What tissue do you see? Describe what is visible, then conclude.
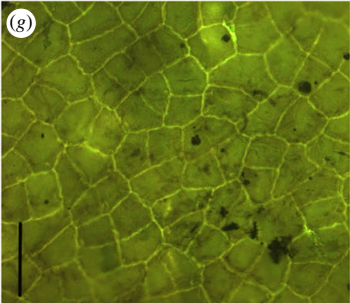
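A continuous sheet of polygonal cells outlined by bright walls. No stomata visible among the cells. On this evidence: Epidermal cell pattern.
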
